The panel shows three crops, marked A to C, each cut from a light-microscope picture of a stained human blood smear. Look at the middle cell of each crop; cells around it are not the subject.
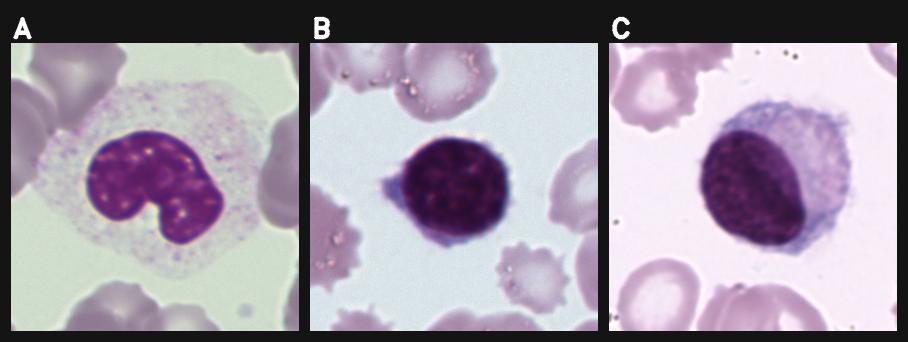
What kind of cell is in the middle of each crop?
A: band neutrophil
B: typical lymphocyte
C: hairy cell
